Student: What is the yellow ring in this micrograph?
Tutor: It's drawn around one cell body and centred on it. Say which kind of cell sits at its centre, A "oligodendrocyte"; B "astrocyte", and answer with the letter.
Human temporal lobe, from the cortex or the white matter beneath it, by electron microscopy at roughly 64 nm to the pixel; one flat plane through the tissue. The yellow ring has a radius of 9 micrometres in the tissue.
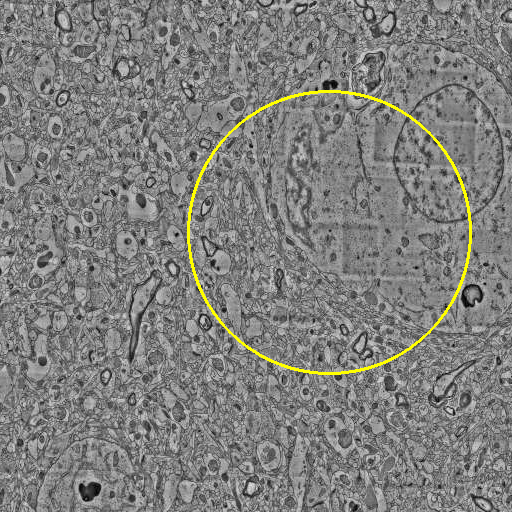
A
